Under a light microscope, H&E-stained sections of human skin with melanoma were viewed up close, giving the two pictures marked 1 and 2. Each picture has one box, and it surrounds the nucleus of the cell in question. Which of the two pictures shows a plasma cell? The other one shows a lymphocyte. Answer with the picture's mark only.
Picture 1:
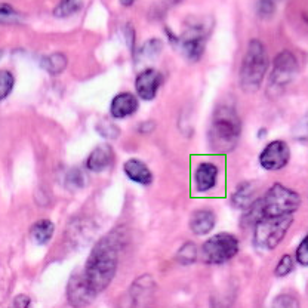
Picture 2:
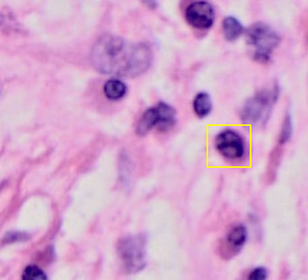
2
